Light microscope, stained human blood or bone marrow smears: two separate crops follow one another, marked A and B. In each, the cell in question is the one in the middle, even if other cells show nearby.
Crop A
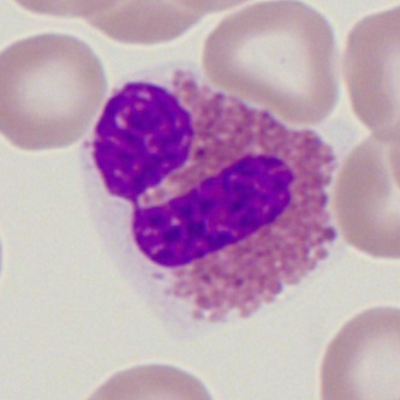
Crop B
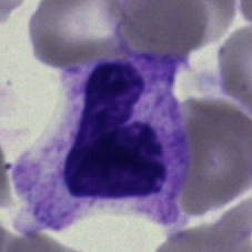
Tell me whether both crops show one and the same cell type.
no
